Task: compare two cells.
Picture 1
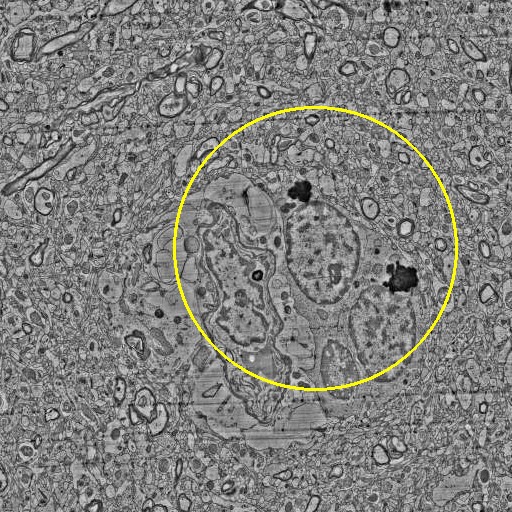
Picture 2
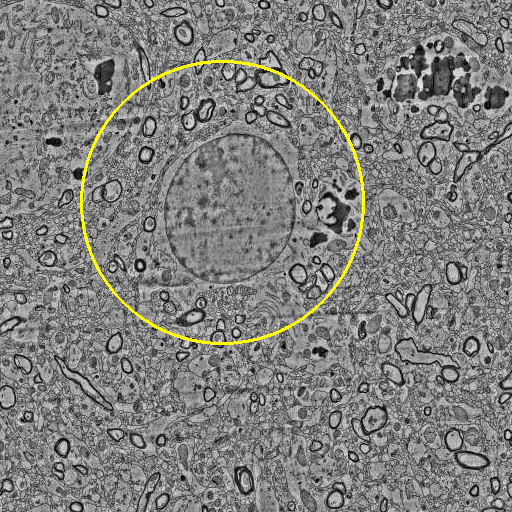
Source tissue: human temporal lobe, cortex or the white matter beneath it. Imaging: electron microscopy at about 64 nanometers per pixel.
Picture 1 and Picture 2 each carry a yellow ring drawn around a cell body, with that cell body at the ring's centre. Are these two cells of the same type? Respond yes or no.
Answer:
no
